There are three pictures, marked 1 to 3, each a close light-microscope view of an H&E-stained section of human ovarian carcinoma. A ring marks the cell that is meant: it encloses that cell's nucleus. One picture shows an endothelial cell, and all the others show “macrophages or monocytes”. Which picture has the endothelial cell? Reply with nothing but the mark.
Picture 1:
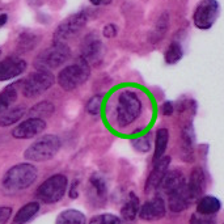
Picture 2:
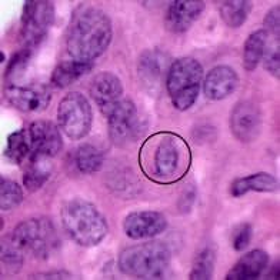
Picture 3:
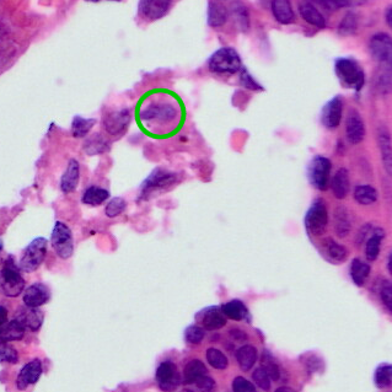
2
